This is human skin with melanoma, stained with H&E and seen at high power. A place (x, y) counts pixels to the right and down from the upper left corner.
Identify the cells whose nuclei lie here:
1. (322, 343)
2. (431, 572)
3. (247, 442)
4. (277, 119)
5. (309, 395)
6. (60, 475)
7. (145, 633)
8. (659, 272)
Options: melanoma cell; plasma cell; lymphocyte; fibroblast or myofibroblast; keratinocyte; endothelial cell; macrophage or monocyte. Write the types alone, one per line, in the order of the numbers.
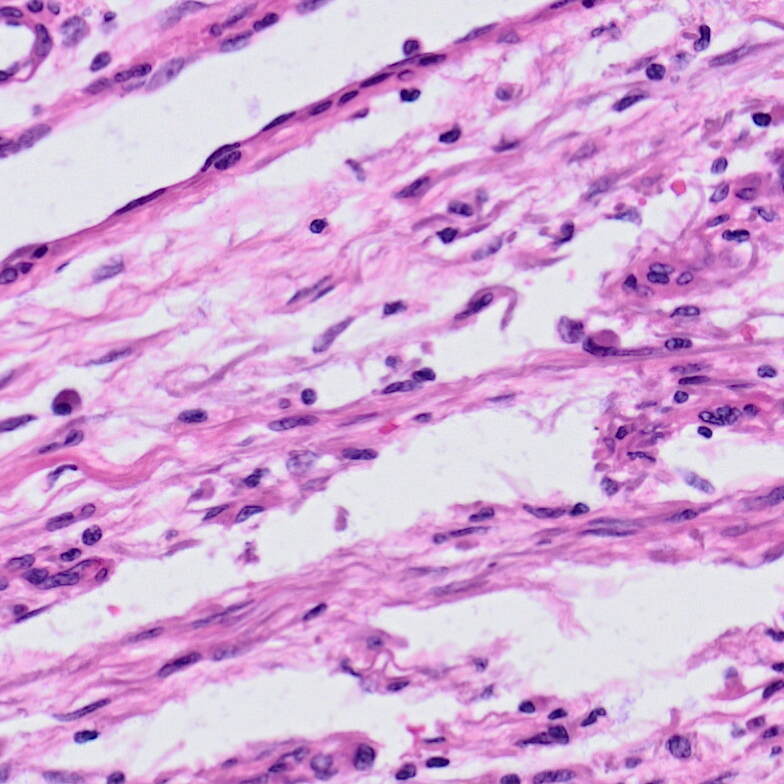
fibroblast or myofibroblast
fibroblast or myofibroblast
fibroblast or myofibroblast
endothelial cell
lymphocyte
fibroblast or myofibroblast
macrophage or monocyte
endothelial cell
